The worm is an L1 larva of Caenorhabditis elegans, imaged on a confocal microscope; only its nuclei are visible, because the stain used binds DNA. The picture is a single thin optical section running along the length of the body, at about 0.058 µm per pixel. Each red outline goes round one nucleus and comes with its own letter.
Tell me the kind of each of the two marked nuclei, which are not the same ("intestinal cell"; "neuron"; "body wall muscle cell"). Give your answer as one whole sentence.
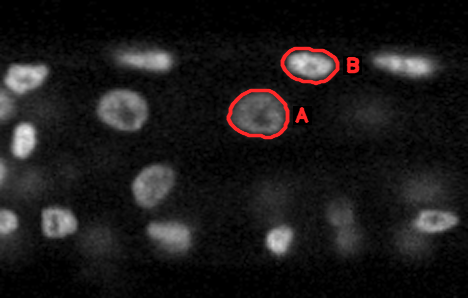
B belongs to a body wall muscle cell, and A to an intestinal cell.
